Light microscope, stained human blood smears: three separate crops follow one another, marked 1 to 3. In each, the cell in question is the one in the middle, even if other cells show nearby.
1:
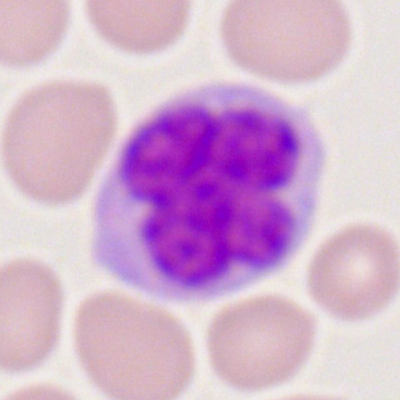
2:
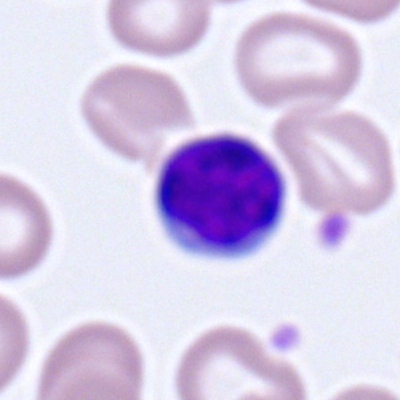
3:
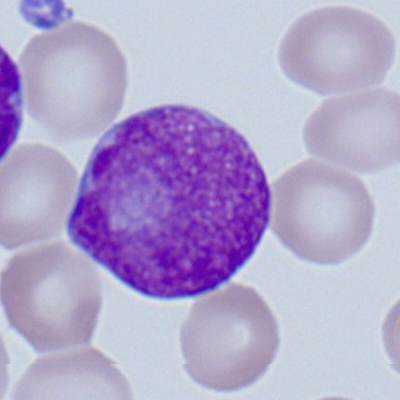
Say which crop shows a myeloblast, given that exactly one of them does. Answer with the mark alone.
3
